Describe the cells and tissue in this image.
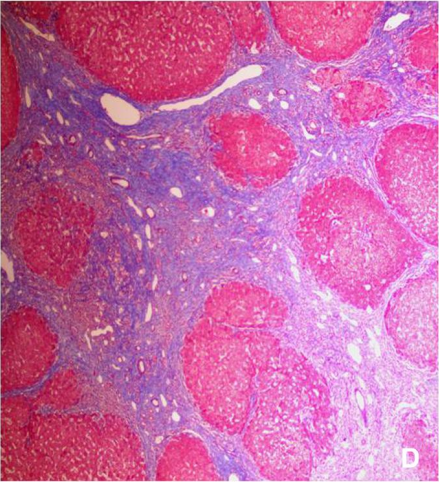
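This is cirrhotic liver: the parenchyma is broken into rounded red-staining nodules of hepatocytes. Each nodule is ringed by broad blue fibrous septa that link up into a network and carry many small vessels and ducts.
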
